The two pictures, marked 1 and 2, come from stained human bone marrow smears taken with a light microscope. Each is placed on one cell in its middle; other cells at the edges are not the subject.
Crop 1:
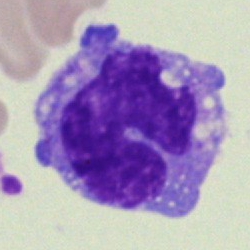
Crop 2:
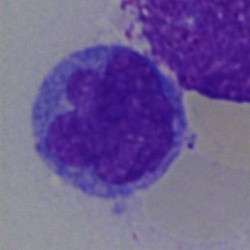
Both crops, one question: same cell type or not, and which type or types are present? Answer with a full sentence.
Yes, in both crops, monocytes are the cells at the middle.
